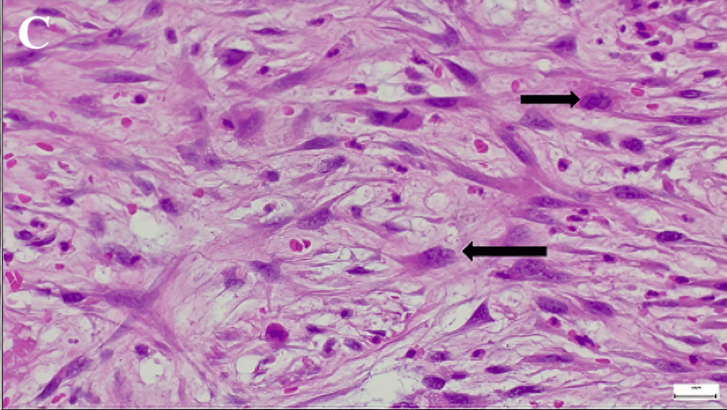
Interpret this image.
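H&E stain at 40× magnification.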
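This is a tumour made of spindle cells, seen at high power. The cells are elongated with tapering, pale pink cytoplasm that streams out into long processes, and they lie in loose, crossing bundles within a pale, somewhat bubbly background. Look at the nuclei: they are purple and strikingly unequal, some slender and cigar-like, others plump, oval or irregular and darker than their neighbours. A few larger cells have more cytoplasm around an enlarged, dark nucleus. Scattered small red blood cells lie between the tumour cells. The variety of nuclear size and shape is the key feature here.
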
